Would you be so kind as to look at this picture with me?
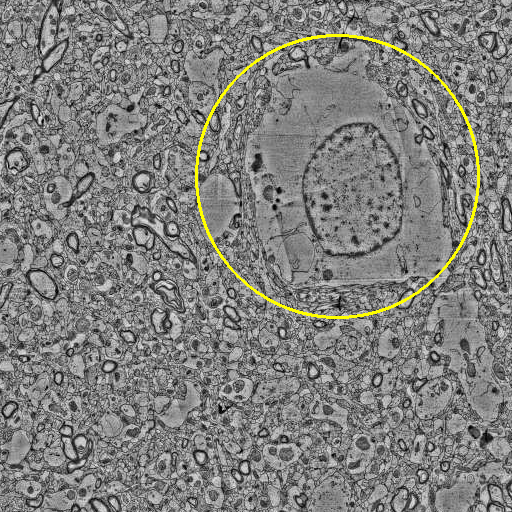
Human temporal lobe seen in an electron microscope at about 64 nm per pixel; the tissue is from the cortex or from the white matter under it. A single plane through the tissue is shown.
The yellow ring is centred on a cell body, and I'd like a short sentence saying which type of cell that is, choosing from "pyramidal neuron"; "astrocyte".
The cell body in the ring belongs to an astrocyte.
